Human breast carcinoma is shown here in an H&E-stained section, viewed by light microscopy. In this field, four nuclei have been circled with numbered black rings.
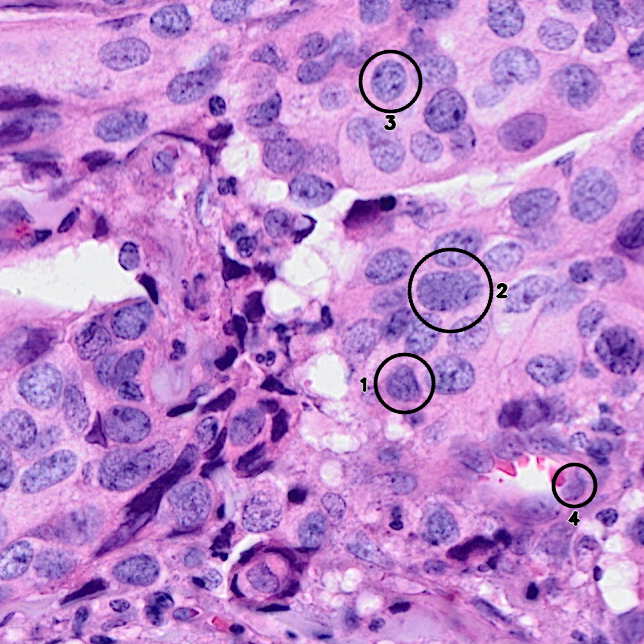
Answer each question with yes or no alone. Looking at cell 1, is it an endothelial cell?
no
